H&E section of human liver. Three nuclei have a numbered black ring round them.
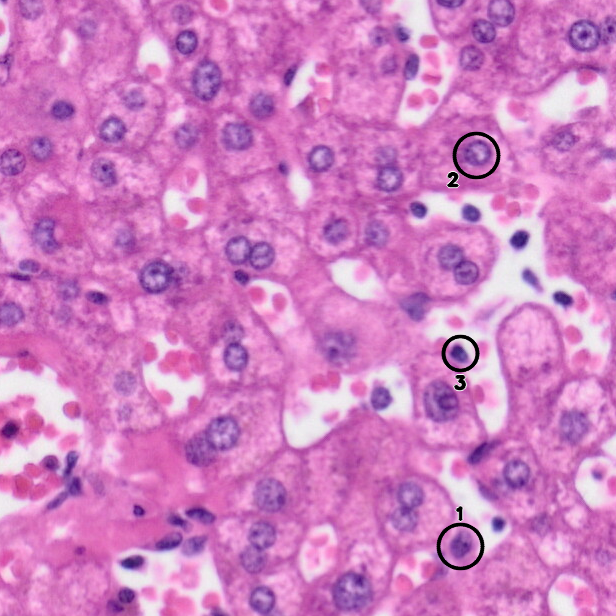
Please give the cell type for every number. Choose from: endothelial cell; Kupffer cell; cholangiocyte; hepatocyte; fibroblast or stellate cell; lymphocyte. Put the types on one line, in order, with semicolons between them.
Kupffer cell; hepatocyte; lymphocyte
